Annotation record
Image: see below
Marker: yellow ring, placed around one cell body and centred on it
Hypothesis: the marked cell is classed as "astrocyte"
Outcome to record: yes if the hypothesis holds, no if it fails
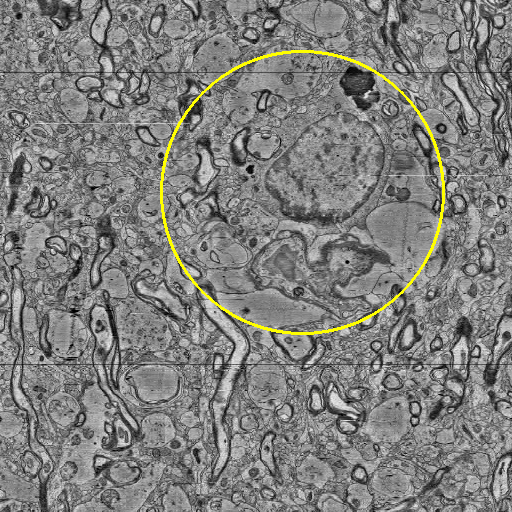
no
